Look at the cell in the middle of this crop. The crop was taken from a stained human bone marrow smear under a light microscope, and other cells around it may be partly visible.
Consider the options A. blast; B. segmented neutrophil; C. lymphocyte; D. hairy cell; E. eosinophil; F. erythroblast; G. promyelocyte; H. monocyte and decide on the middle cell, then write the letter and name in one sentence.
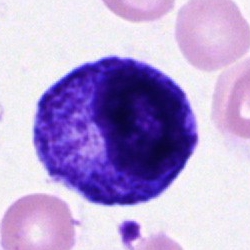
Seen at the centre of the crop is a promyelocyte, so option G is correct.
